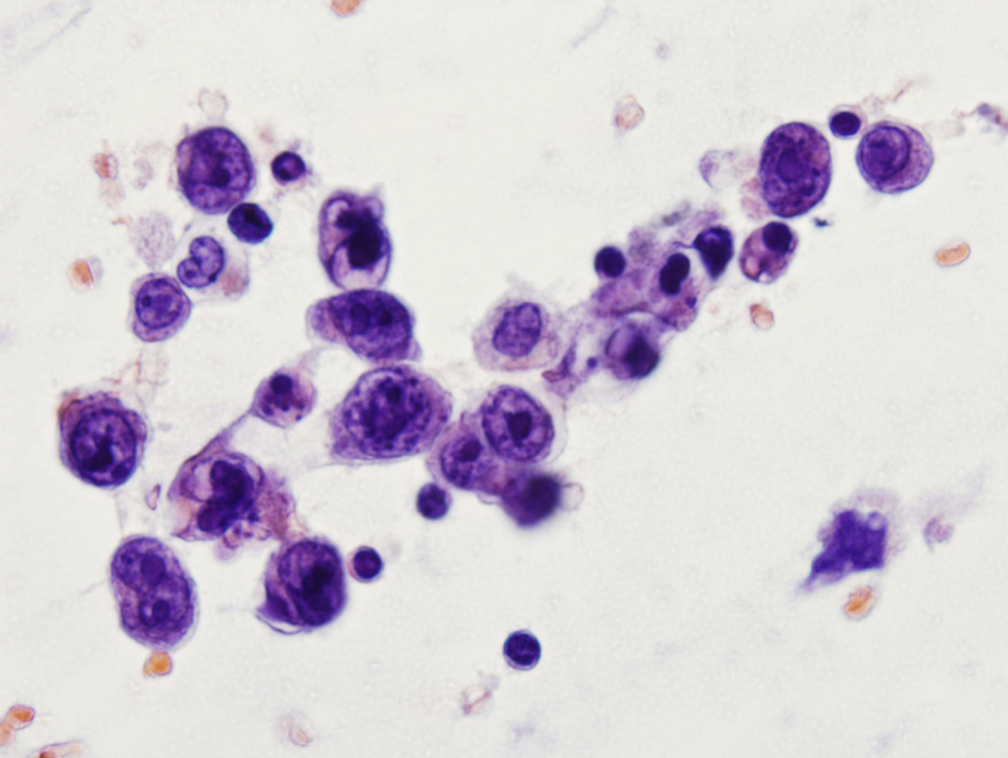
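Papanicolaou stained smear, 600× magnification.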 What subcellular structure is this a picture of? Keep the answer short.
prominent nucleoli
